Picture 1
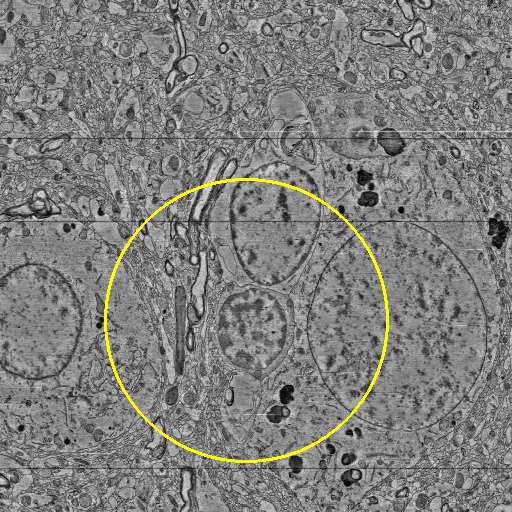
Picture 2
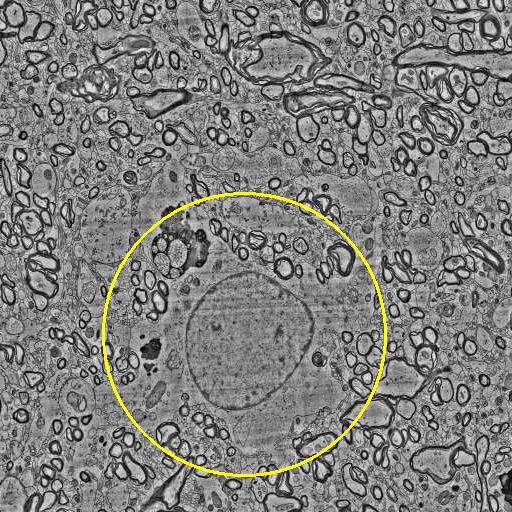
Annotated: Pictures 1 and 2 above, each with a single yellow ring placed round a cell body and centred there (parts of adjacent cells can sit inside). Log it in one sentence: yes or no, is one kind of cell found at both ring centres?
No, the ring centres of the two pictures hold cells of two kinds.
